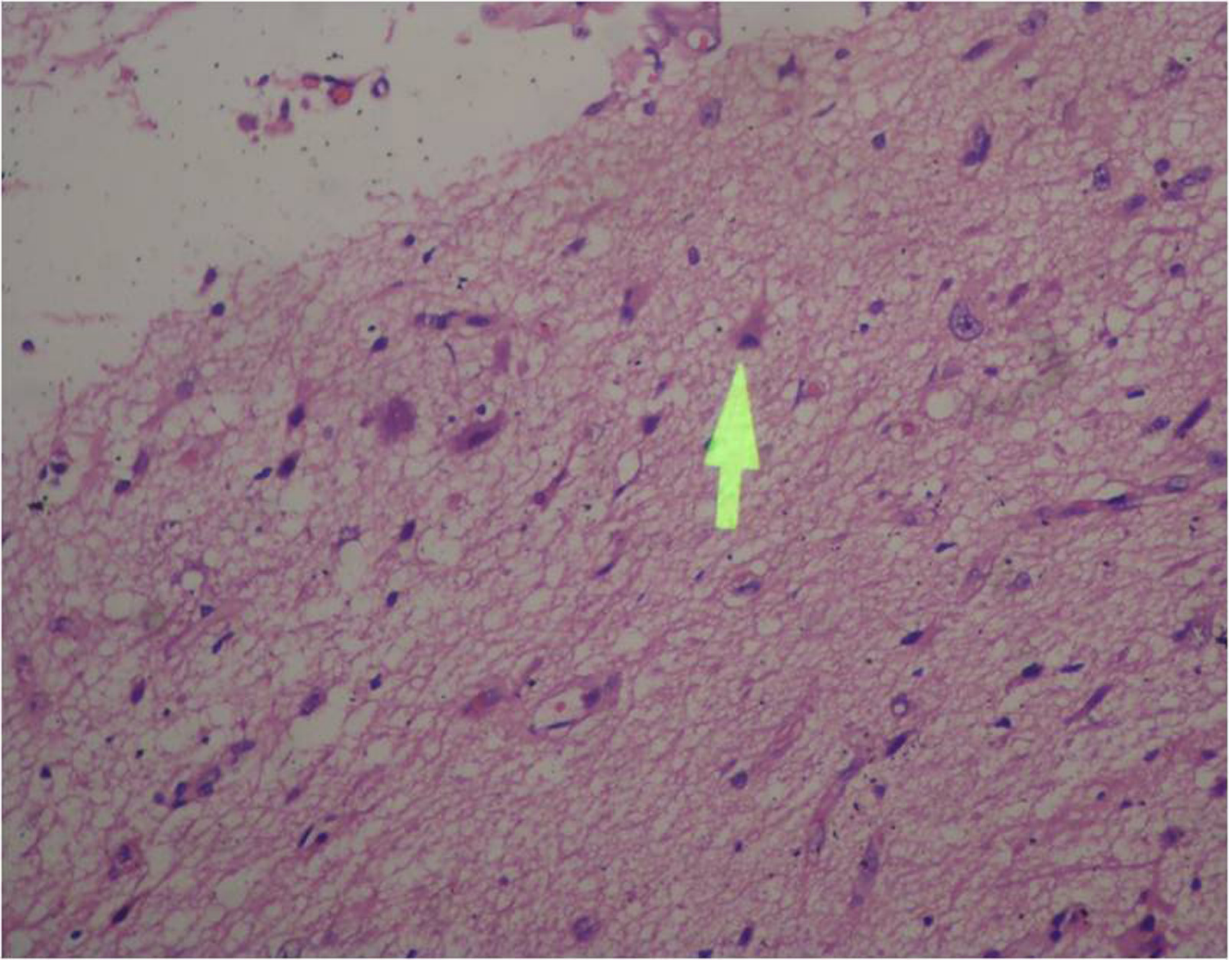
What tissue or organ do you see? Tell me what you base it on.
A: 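A pale pink, finely fibrillary and vacuolated matrix fills most of the field. Small dark nuclei are scattered loosely through the matrix with no epithelial or glandular arrangement.
Hence: mature glial tissue.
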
